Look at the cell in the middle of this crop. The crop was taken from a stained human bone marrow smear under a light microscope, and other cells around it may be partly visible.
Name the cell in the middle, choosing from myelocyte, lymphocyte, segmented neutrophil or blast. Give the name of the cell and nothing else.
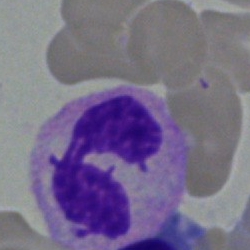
segmented neutrophil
